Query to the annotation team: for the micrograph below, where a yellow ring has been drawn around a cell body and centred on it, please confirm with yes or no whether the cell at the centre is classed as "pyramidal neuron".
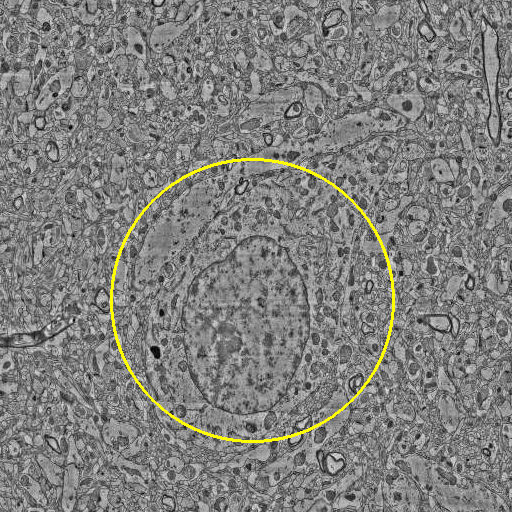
No, it belongs to another class.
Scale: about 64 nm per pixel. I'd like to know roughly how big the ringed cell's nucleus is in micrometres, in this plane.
About 11 by 8 micrometers for the nucleus, in this plane.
